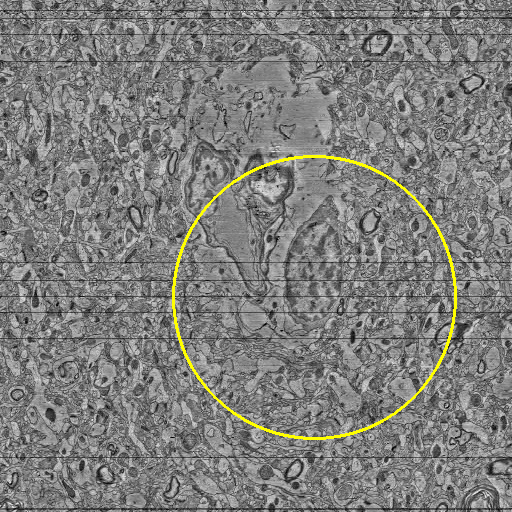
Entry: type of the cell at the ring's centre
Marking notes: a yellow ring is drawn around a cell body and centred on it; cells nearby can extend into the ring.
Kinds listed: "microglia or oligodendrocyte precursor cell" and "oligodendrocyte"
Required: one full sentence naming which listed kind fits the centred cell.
My entry names an oligodendrocyte as the cell whose body the yellow ring centres on.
